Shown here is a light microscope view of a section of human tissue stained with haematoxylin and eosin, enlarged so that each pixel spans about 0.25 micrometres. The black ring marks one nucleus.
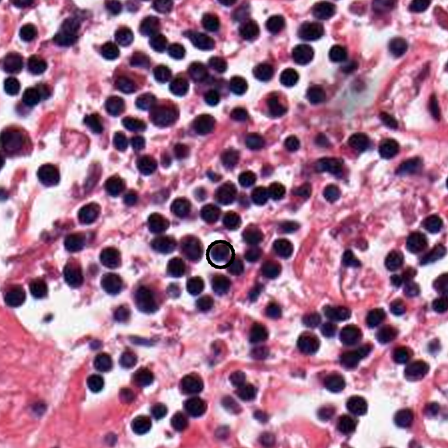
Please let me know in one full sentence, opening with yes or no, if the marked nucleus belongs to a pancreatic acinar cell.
No, the marked nucleus lies within a supporting cell, not within a pancreatic acinar cell.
